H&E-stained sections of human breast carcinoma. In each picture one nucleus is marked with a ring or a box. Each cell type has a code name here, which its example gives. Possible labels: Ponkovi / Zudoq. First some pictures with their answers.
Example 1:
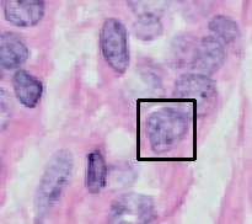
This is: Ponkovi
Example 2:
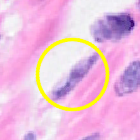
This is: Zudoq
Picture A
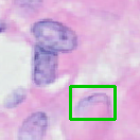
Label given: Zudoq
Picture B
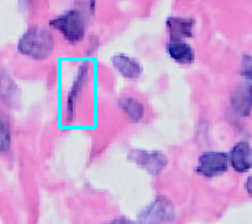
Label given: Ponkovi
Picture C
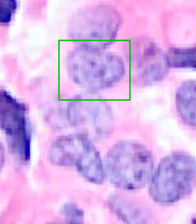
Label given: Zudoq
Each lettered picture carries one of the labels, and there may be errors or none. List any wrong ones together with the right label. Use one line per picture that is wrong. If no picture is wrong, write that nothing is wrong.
B is labelled Ponkovi; correct label: Zudoq
C is labelled Zudoq; correct label: Ponkovi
